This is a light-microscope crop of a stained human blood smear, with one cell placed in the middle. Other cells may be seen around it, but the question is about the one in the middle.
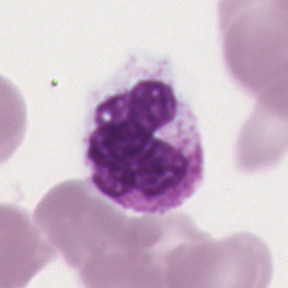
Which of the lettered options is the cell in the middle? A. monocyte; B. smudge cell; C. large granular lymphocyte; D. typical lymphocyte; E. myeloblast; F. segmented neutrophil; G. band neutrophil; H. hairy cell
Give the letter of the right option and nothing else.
F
